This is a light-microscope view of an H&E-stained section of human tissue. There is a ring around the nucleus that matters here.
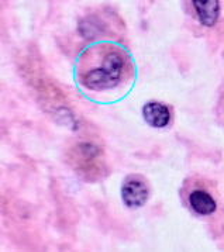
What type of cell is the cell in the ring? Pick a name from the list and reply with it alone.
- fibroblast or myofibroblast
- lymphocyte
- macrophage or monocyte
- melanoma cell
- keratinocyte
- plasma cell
macrophage or monocyte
